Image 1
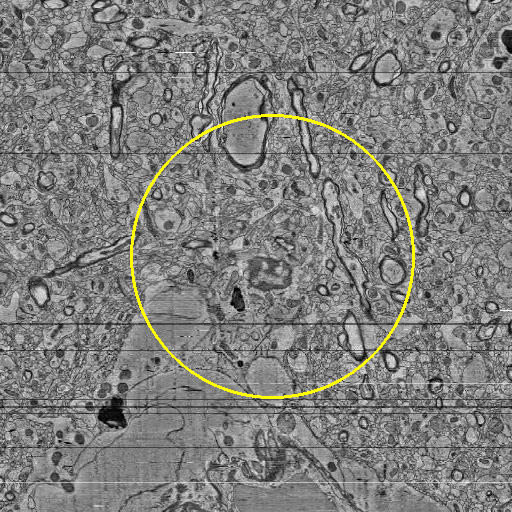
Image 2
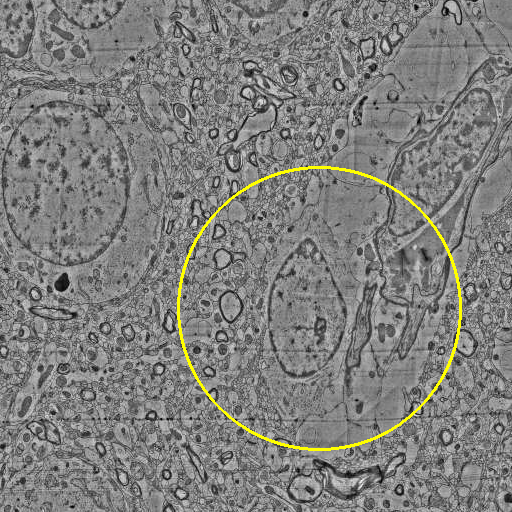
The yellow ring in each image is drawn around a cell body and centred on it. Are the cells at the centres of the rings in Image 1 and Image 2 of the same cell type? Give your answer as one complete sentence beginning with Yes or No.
Yes, both cells are of the same type.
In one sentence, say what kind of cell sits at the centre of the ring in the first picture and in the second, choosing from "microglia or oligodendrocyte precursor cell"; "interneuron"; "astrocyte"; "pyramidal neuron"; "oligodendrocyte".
In the first picture and in the second, the ring is centred on a microglial cell or oligodendrocyte precursor cell.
